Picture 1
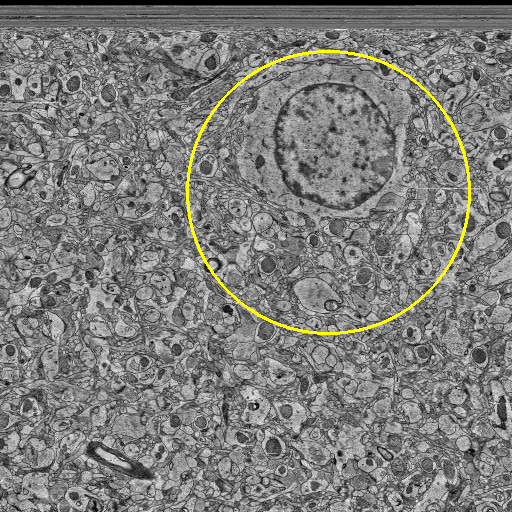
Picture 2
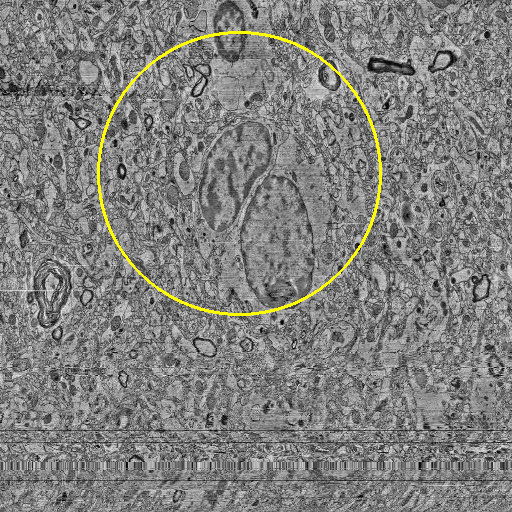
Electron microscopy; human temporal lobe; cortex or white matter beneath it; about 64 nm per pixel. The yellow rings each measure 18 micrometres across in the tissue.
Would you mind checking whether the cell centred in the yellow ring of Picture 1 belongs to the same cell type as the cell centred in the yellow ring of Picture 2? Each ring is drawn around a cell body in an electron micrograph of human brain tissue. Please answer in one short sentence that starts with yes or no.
No, the two cells are of two types.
